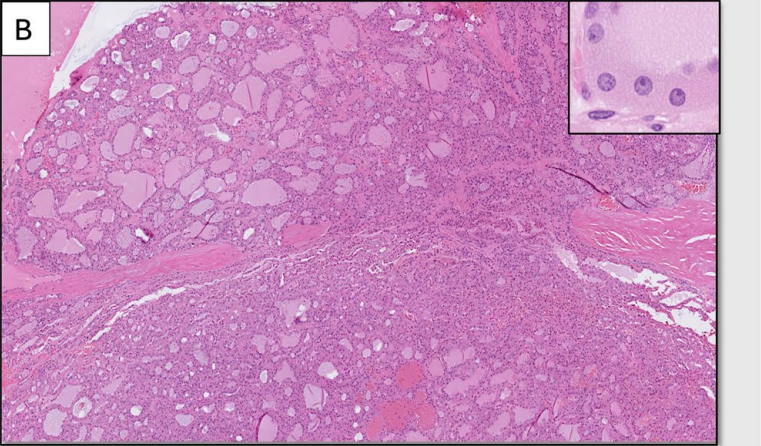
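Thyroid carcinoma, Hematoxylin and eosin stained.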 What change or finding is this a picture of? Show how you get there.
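Pink fibrous capsule bands cross the tissue. Tumor follicles lie on both sides of the fibrous bands and interrupt them.
Capsular invasion.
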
